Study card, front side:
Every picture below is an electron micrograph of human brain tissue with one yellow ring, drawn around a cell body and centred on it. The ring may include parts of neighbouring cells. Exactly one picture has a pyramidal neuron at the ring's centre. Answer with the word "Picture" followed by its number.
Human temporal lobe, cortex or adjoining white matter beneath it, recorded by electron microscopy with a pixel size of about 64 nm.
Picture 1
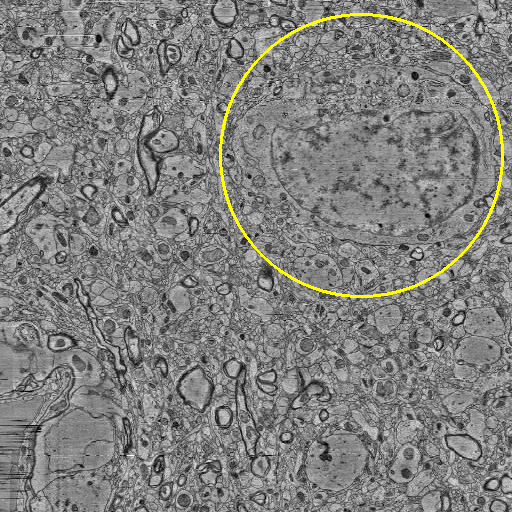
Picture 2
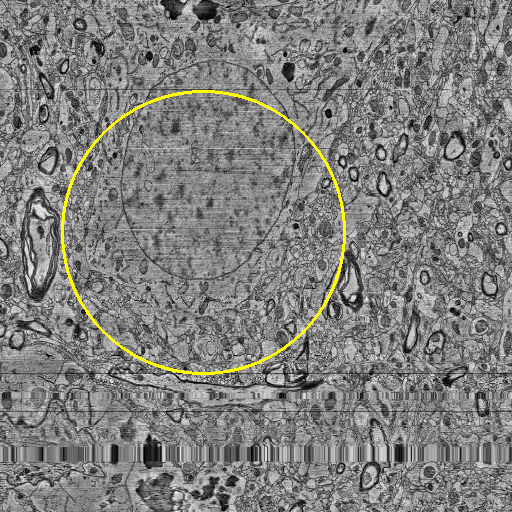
Picture 2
